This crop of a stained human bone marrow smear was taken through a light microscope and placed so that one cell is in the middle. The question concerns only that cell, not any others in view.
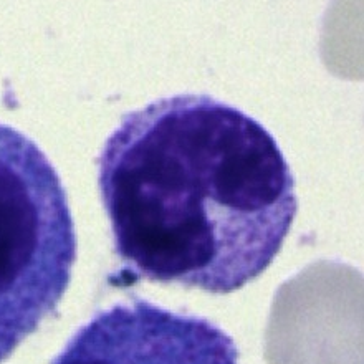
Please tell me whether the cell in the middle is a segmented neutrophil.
no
